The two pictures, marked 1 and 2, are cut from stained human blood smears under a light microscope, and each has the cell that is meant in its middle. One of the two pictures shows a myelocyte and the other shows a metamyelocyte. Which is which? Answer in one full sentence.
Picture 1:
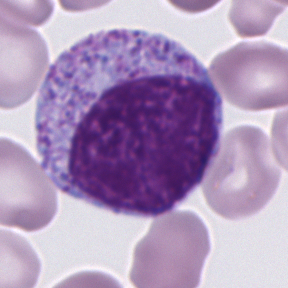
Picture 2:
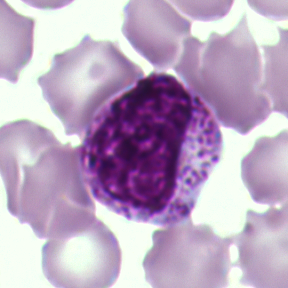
It is picture 1 that shows a myelocyte, and picture 2 that shows a metamyelocyte.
